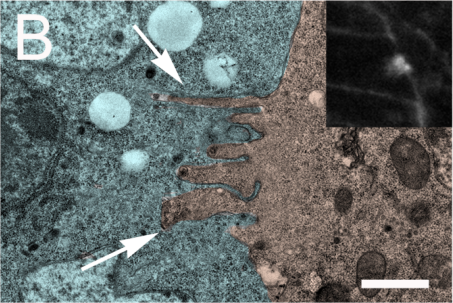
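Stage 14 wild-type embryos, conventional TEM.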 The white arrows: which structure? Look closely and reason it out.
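Several slender, parallel protrusions extend from the orange cell into the blue cell. The arrows point at the outermost of these protrusions. So: invasive fingers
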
